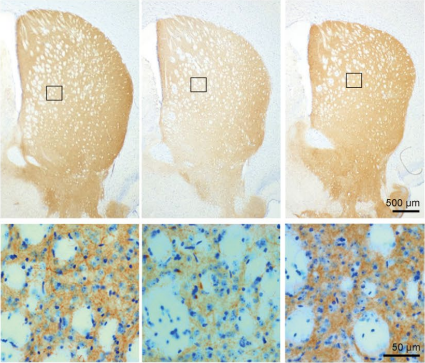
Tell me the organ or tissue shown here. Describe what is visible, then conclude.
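Striatum. Brown-stained gray matter is perforated by many small pale round bundles. The section is a large rounded brain region beside a ventricle-like edge.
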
